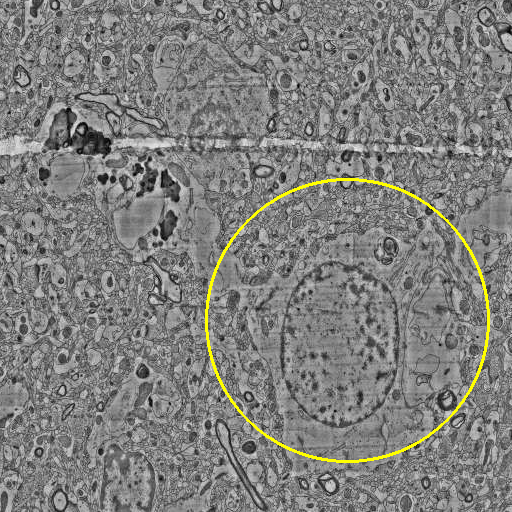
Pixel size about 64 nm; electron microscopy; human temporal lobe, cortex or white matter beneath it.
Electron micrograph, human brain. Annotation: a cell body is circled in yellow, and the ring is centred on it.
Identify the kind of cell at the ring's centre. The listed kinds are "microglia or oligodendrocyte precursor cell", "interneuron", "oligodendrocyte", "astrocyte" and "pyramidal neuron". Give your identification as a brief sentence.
The circled cell body is that of an astrocyte.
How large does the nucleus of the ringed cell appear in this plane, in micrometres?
The nucleus has a long axis of about 10 micrometres and a short axis of about 8 micrometres in this plane.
